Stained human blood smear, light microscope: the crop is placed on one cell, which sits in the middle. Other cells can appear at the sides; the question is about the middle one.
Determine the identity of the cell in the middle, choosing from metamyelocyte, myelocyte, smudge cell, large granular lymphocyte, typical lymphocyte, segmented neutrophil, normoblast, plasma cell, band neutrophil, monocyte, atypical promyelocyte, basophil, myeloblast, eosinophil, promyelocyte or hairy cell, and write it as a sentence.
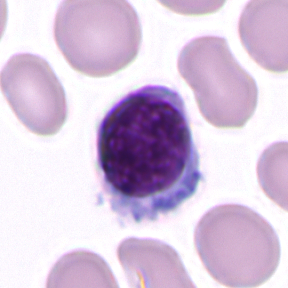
For this crop, the central cell is a plasma cell.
